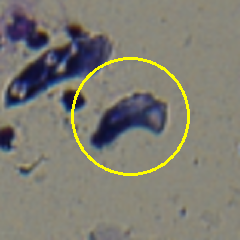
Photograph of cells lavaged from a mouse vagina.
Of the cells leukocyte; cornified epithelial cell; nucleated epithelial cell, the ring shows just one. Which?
The ring shows a cornified epithelial cell.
